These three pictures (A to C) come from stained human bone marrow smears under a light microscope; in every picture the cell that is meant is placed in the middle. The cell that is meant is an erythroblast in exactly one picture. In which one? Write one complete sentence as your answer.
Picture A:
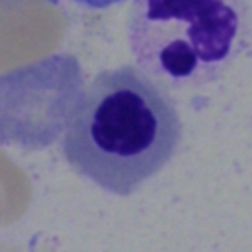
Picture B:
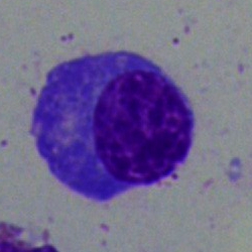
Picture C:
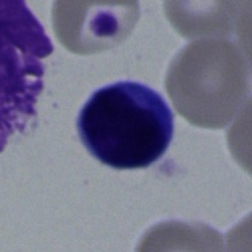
It is picture A that shows the erythroblast.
